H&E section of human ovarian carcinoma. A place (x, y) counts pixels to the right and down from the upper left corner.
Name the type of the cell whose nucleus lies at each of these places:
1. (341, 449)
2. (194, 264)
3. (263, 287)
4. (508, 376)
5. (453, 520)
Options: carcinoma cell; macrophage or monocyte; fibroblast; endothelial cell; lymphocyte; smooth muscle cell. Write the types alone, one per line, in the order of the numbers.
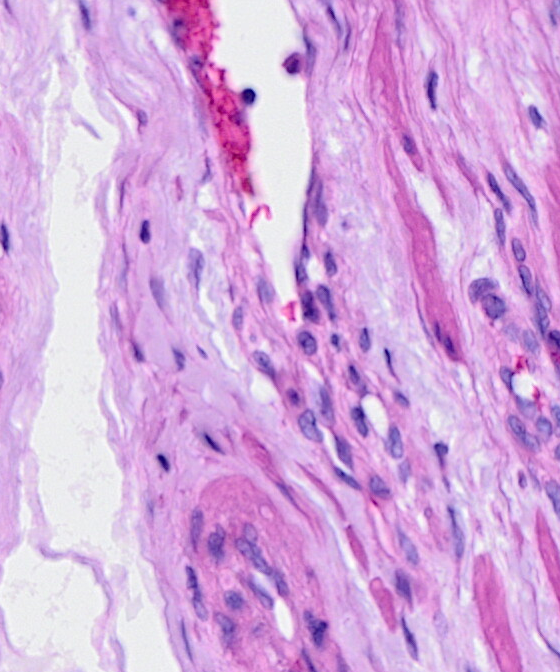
endothelial cell
fibroblast
endothelial cell
endothelial cell
fibroblast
